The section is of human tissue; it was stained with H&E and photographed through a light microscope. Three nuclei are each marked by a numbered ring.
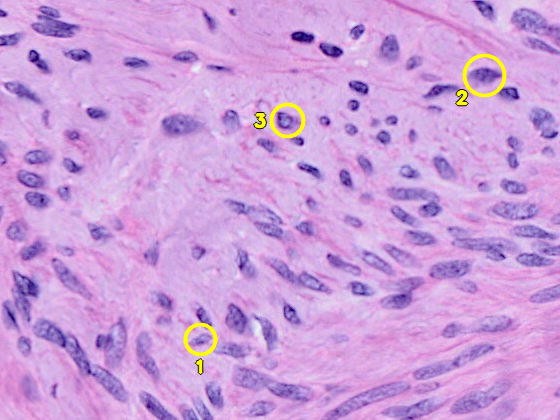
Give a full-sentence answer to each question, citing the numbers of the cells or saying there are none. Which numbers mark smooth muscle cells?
Here, the cells that carry numbers 1 and 3 are smooth muscle cells.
